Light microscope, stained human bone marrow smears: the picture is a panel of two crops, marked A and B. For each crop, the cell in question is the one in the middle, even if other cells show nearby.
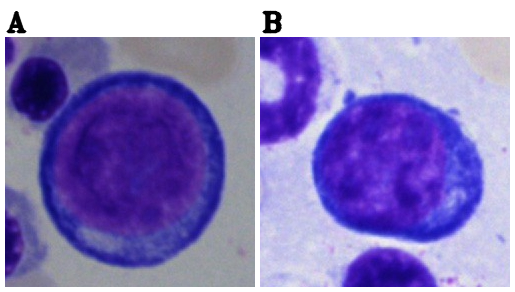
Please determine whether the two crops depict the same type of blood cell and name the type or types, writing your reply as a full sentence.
Yes, proerythroblasts are depicted in both crops.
